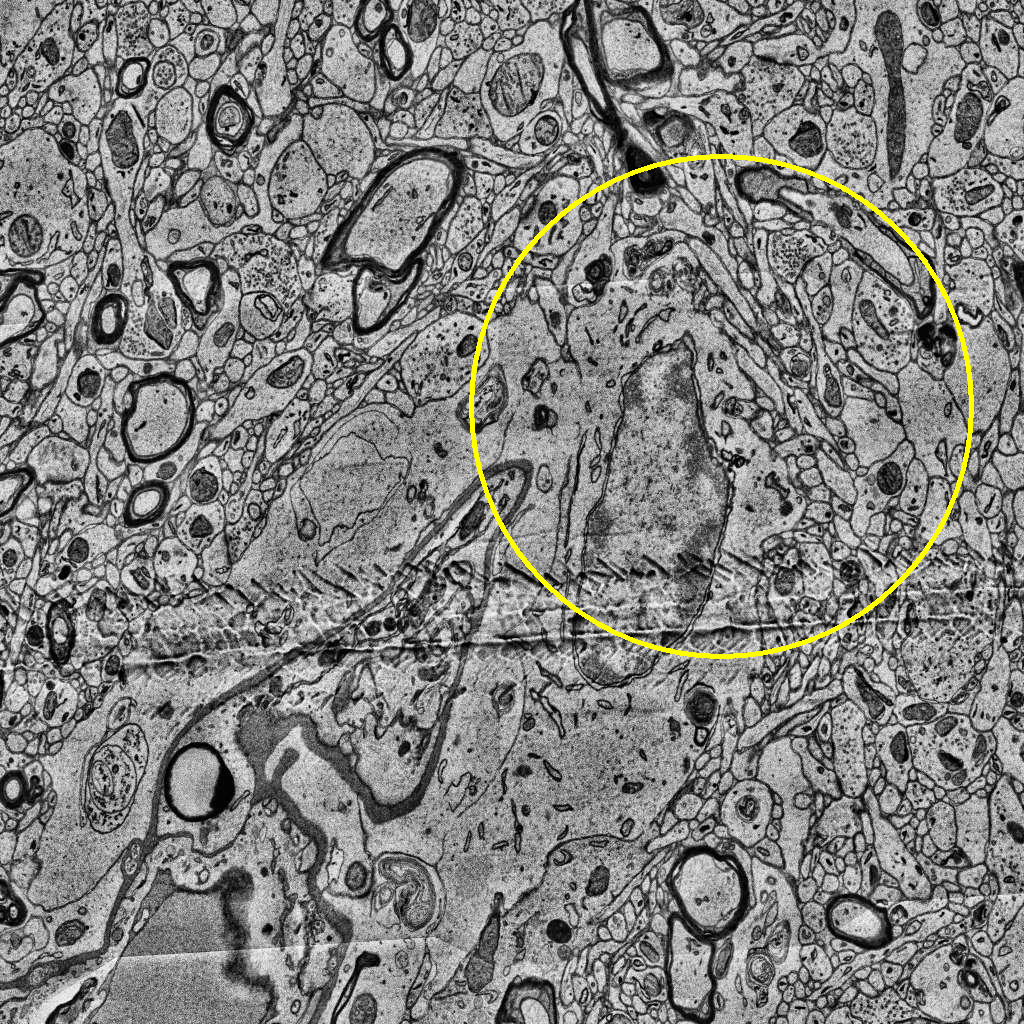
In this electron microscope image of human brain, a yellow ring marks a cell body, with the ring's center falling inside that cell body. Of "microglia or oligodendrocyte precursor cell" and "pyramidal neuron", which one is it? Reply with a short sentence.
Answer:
It is a microglial cell or oligodendrocyte precursor cell at the center of the ring.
